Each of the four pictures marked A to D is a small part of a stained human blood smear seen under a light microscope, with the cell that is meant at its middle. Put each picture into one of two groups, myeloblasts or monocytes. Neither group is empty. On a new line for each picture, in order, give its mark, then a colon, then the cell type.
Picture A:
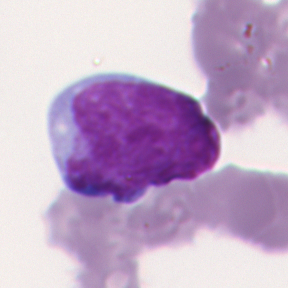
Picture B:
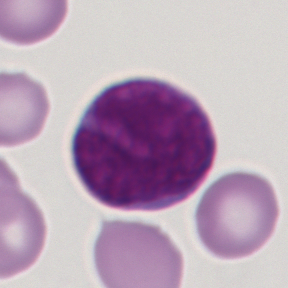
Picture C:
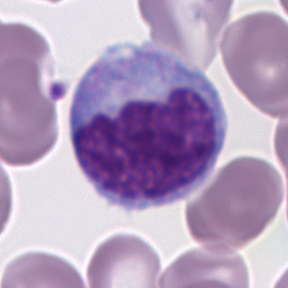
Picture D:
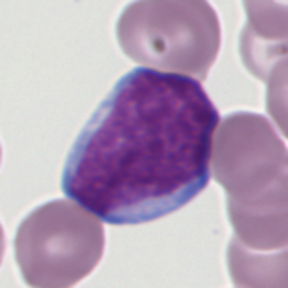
A: myeloblast
B: myeloblast
C: monocyte
D: myeloblast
